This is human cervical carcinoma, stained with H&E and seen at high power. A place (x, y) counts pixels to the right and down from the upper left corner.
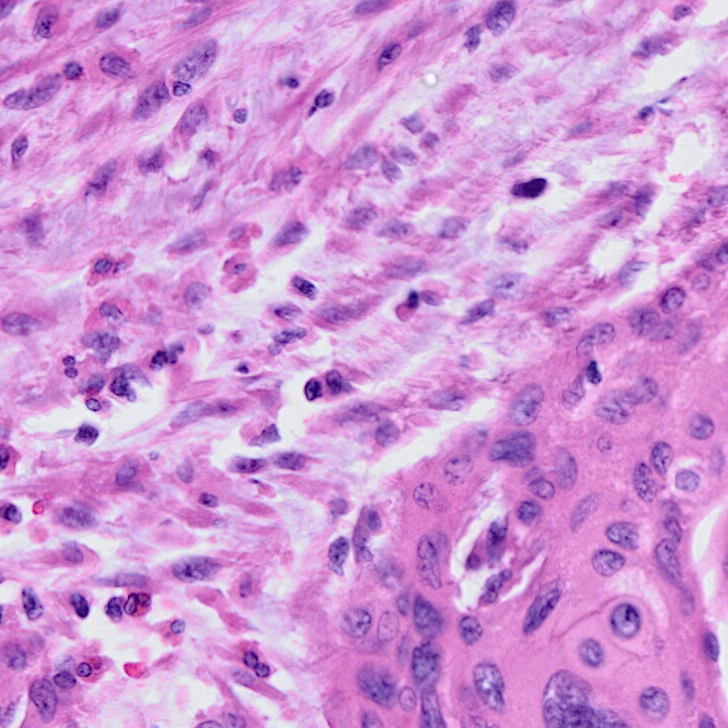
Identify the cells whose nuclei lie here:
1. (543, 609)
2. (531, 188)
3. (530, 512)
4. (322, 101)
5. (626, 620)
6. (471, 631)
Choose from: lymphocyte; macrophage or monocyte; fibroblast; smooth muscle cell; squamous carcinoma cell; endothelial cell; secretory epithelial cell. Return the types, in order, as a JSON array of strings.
["squamous carcinoma cell", "lymphocyte", "squamous carcinoma cell", "lymphocyte", "squamous carcinoma cell", "squamous carcinoma cell"]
